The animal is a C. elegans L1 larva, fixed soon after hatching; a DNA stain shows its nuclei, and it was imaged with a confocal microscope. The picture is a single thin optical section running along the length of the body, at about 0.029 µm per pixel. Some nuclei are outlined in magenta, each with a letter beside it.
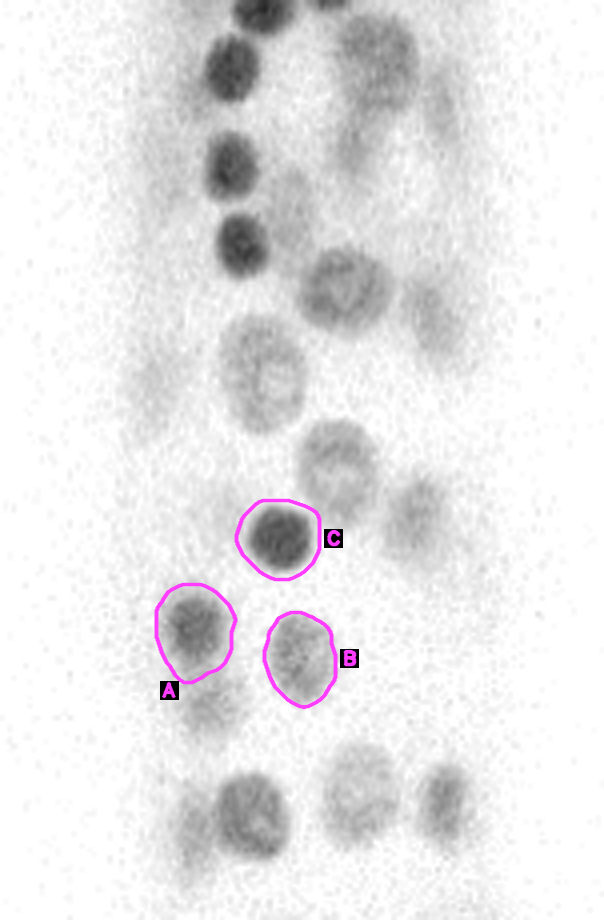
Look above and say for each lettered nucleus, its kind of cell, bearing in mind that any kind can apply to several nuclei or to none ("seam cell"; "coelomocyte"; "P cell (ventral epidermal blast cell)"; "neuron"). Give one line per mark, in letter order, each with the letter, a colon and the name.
A: coelomocyte
B: seam cell
C: neuron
